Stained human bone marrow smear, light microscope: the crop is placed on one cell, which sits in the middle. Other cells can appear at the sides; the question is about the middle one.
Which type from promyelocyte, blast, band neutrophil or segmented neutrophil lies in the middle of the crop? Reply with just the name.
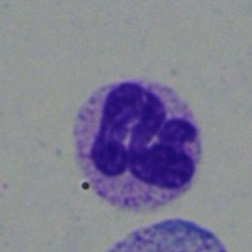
segmented neutrophil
